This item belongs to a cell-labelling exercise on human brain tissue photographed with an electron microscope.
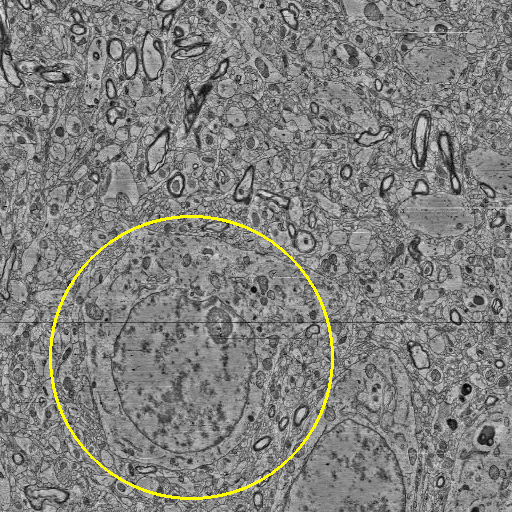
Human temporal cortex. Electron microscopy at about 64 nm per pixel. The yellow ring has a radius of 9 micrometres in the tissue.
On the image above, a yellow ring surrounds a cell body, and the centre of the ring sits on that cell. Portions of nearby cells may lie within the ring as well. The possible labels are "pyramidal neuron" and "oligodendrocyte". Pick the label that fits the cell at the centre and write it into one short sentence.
This cell should be labelled as a pyramidal neuron.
